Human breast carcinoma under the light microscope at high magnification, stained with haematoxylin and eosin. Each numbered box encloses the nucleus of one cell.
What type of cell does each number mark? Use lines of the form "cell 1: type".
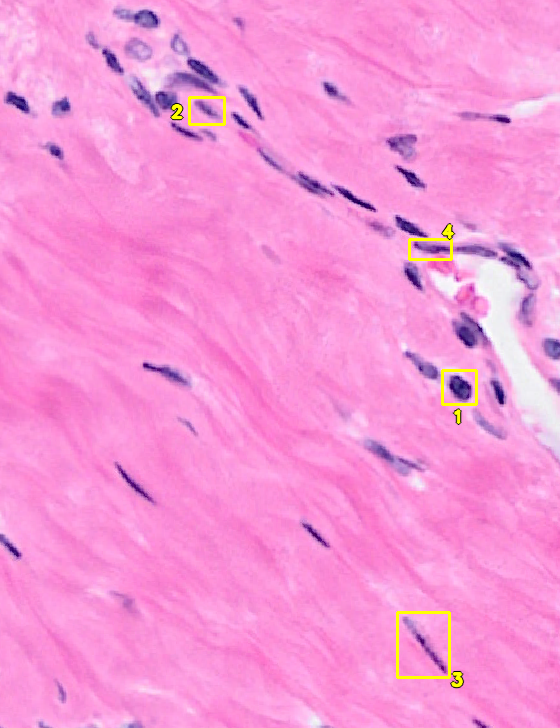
cell 1: lymphocyte
cell 2: endothelial cell
cell 3: fibroblast
cell 4: endothelial cell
